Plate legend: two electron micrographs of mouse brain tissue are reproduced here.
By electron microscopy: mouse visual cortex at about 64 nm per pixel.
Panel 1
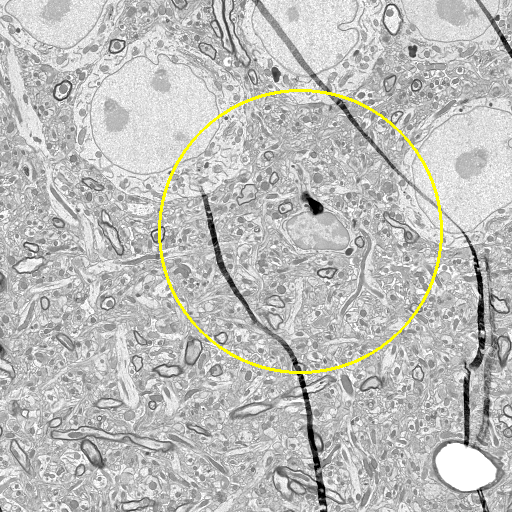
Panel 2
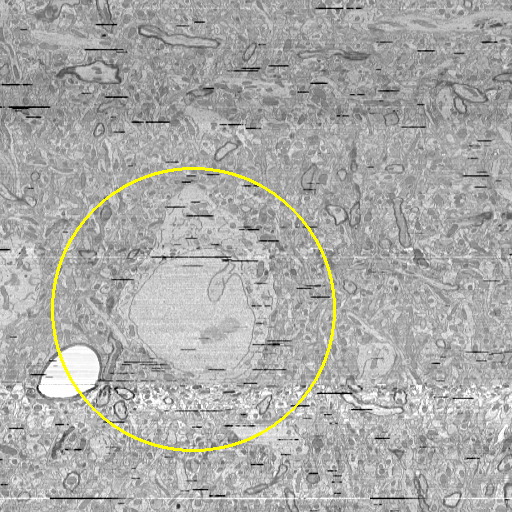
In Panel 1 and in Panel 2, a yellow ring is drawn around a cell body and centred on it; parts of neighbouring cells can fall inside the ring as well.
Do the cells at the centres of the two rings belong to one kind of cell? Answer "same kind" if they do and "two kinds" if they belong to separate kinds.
two kinds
